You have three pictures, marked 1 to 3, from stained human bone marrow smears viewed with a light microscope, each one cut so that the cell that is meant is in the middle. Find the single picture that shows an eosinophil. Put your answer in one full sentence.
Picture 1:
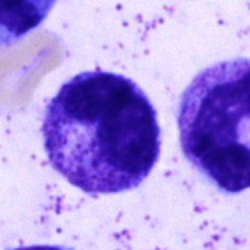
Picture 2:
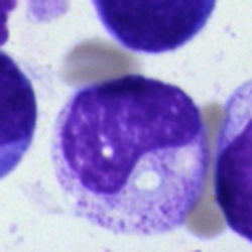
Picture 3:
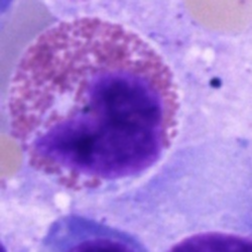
The eosinophil is the one in picture 3.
